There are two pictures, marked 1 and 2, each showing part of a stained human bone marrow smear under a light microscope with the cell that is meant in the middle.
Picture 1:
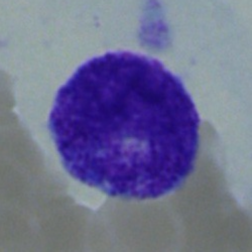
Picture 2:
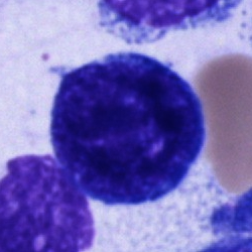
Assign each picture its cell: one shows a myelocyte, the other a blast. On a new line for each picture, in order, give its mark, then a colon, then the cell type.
1: myelocyte
2: blast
